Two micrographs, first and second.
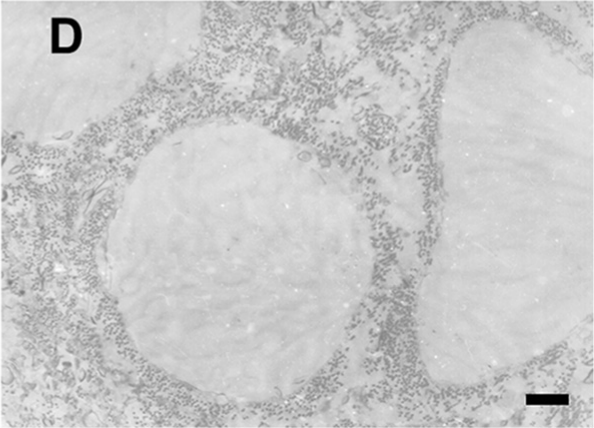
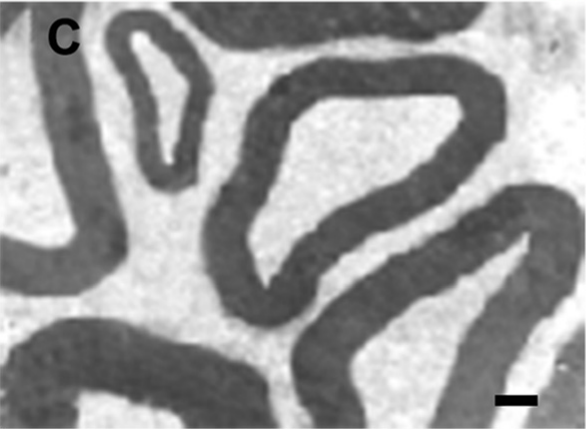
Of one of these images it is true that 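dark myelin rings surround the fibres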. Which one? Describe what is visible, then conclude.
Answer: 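First image: pale round areas ringed only by small fibrils, no dense bands. Second image: thick electron-dense rings enclose paler centres. That points to this answer: the second image.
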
